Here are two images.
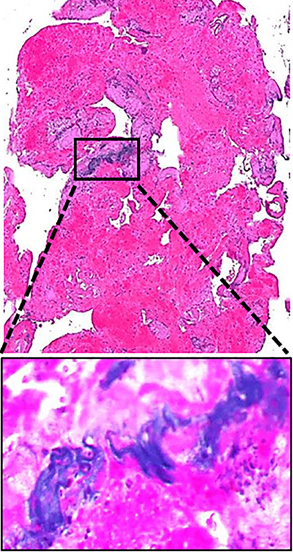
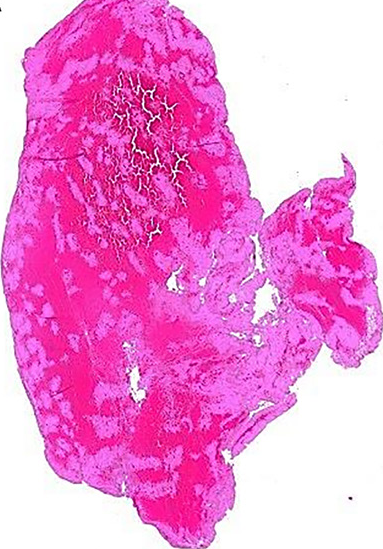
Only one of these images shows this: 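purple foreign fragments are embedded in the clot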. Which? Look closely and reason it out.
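The first image. First image: curled purple fragments lie among the pink clot, best seen in the inset. Second image: the clot is only pink and pale pink, with no purple fragments.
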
